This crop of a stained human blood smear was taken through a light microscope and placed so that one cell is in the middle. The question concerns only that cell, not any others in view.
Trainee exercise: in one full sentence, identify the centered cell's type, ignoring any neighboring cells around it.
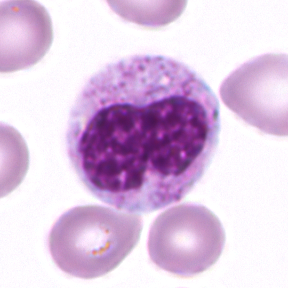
The central cell, amid any neighbouring cells, is a band neutrophil.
